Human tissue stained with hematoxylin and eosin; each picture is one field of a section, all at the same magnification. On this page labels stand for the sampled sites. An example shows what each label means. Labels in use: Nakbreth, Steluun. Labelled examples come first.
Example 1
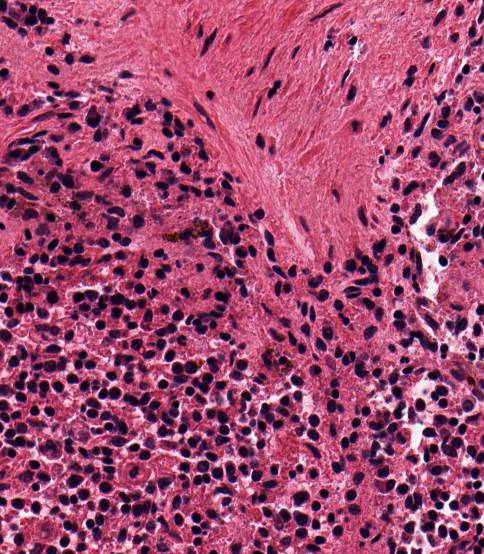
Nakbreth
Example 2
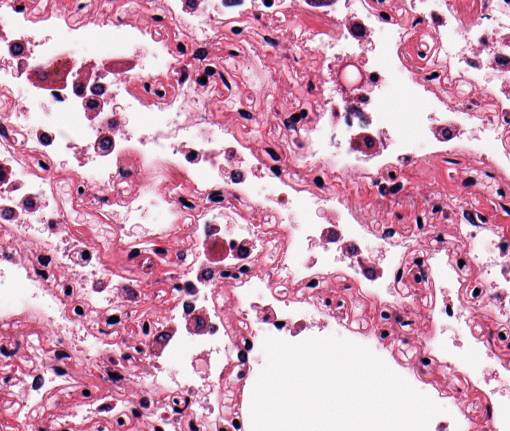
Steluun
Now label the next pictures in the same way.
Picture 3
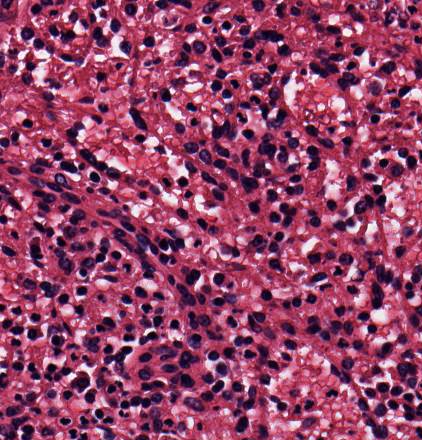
Nakbreth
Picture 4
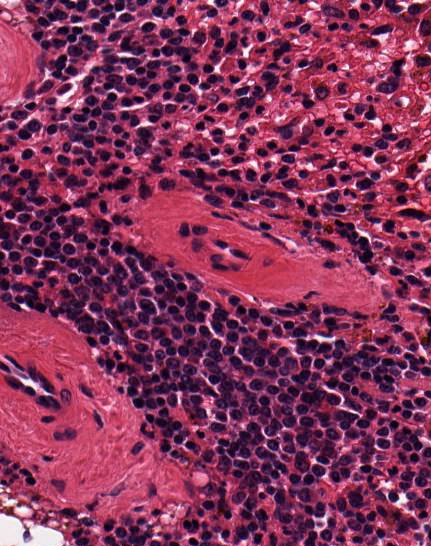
Nakbreth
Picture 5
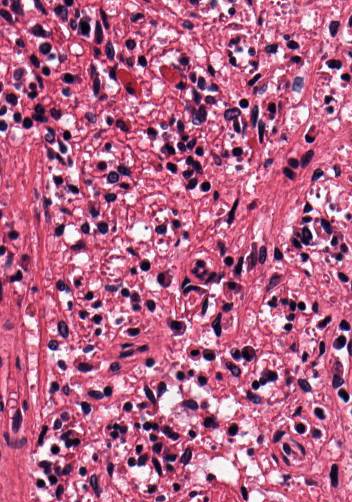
Nakbreth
